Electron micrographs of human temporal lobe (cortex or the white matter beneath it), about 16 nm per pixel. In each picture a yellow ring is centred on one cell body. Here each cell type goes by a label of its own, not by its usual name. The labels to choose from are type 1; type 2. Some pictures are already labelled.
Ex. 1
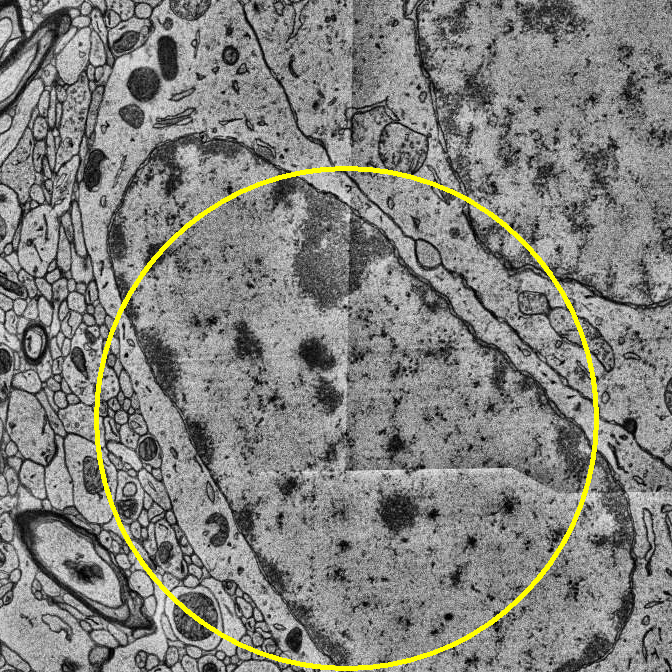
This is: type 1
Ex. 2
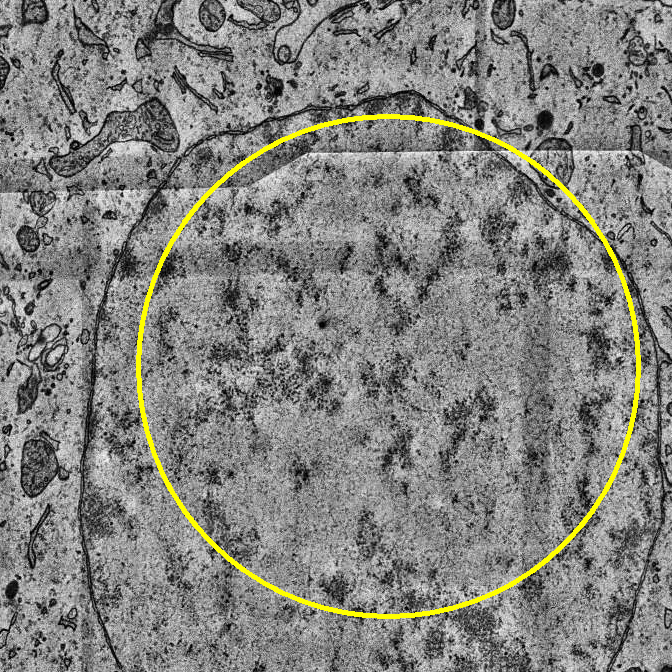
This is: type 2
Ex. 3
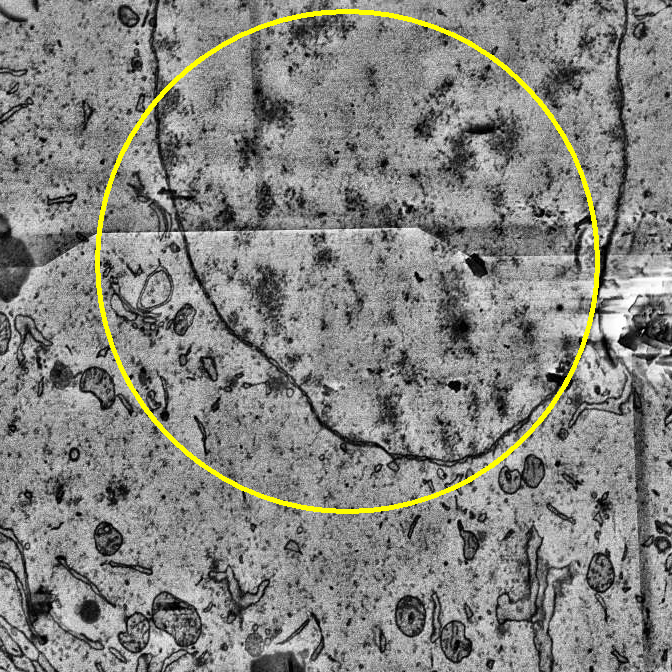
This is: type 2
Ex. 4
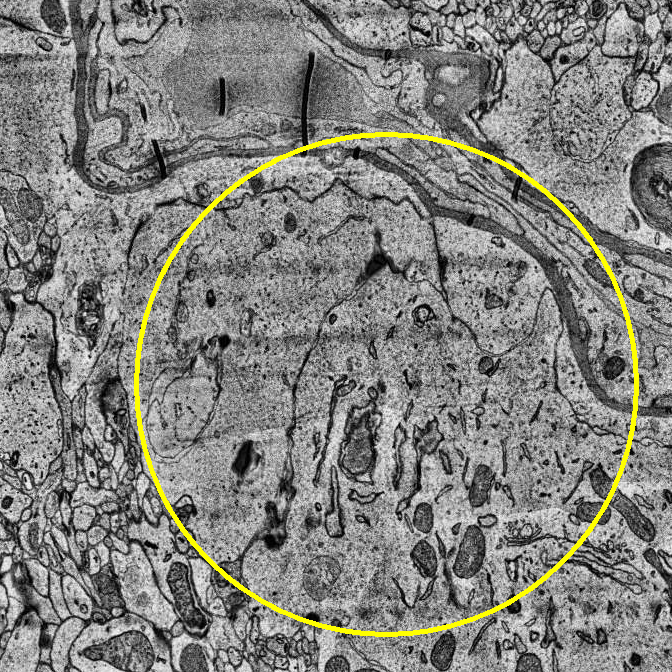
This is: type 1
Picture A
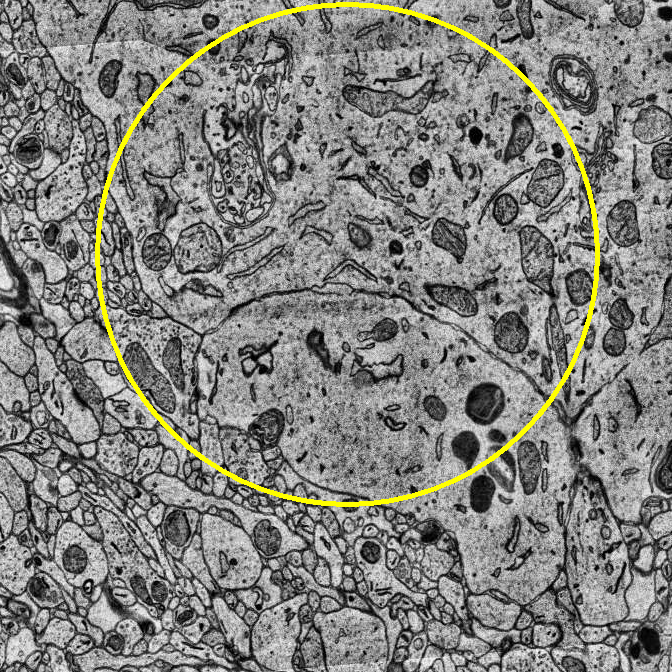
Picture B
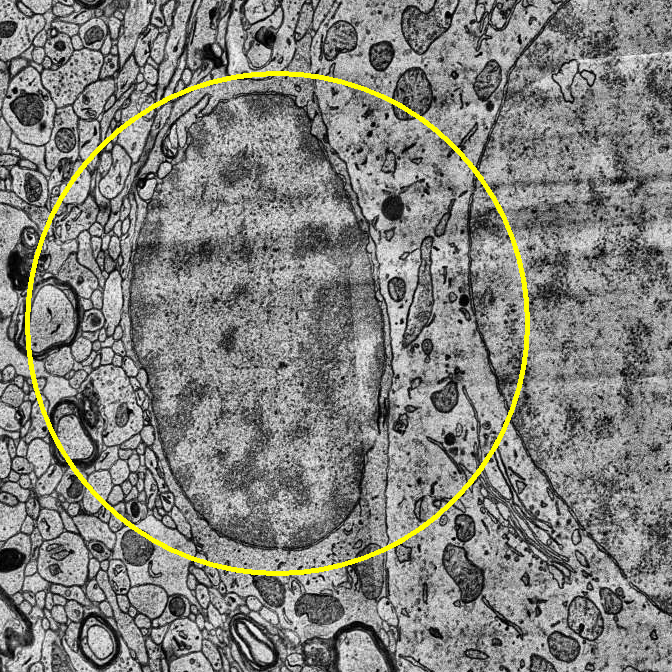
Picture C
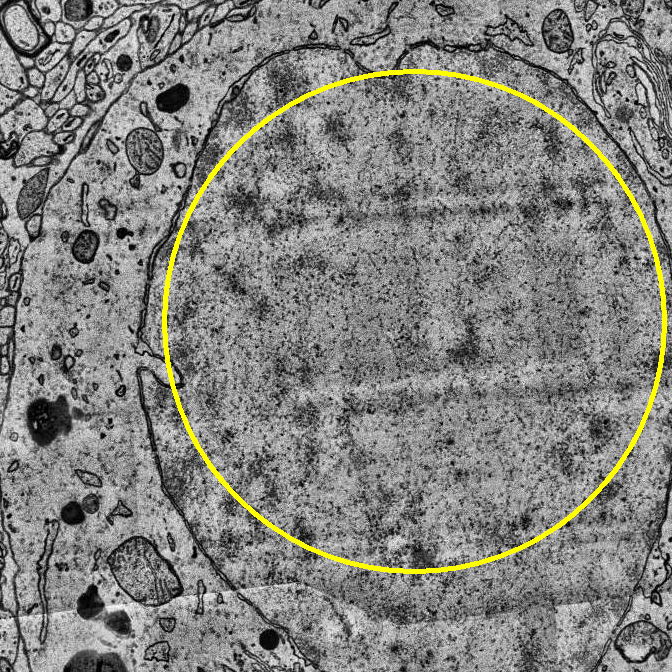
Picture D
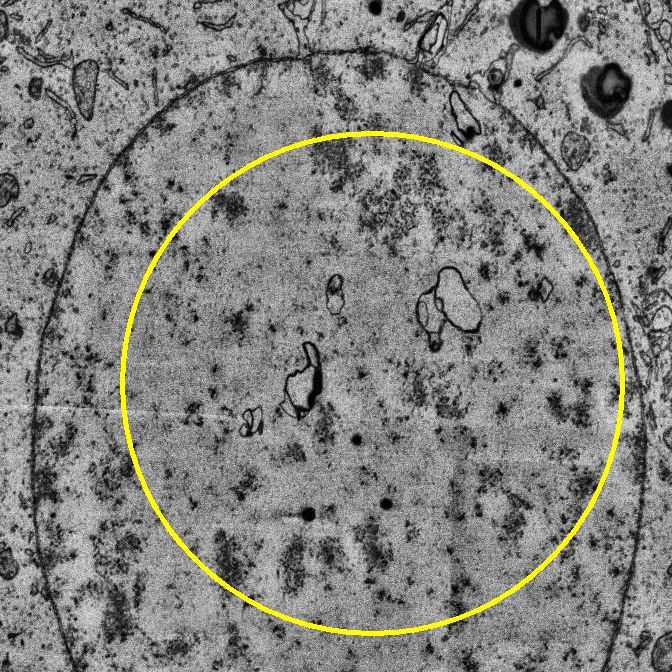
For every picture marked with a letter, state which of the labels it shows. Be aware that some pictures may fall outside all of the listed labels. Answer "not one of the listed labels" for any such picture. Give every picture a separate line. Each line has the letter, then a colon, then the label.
A: type 1
B: not one of the listed labels
C: type 2
D: type 2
